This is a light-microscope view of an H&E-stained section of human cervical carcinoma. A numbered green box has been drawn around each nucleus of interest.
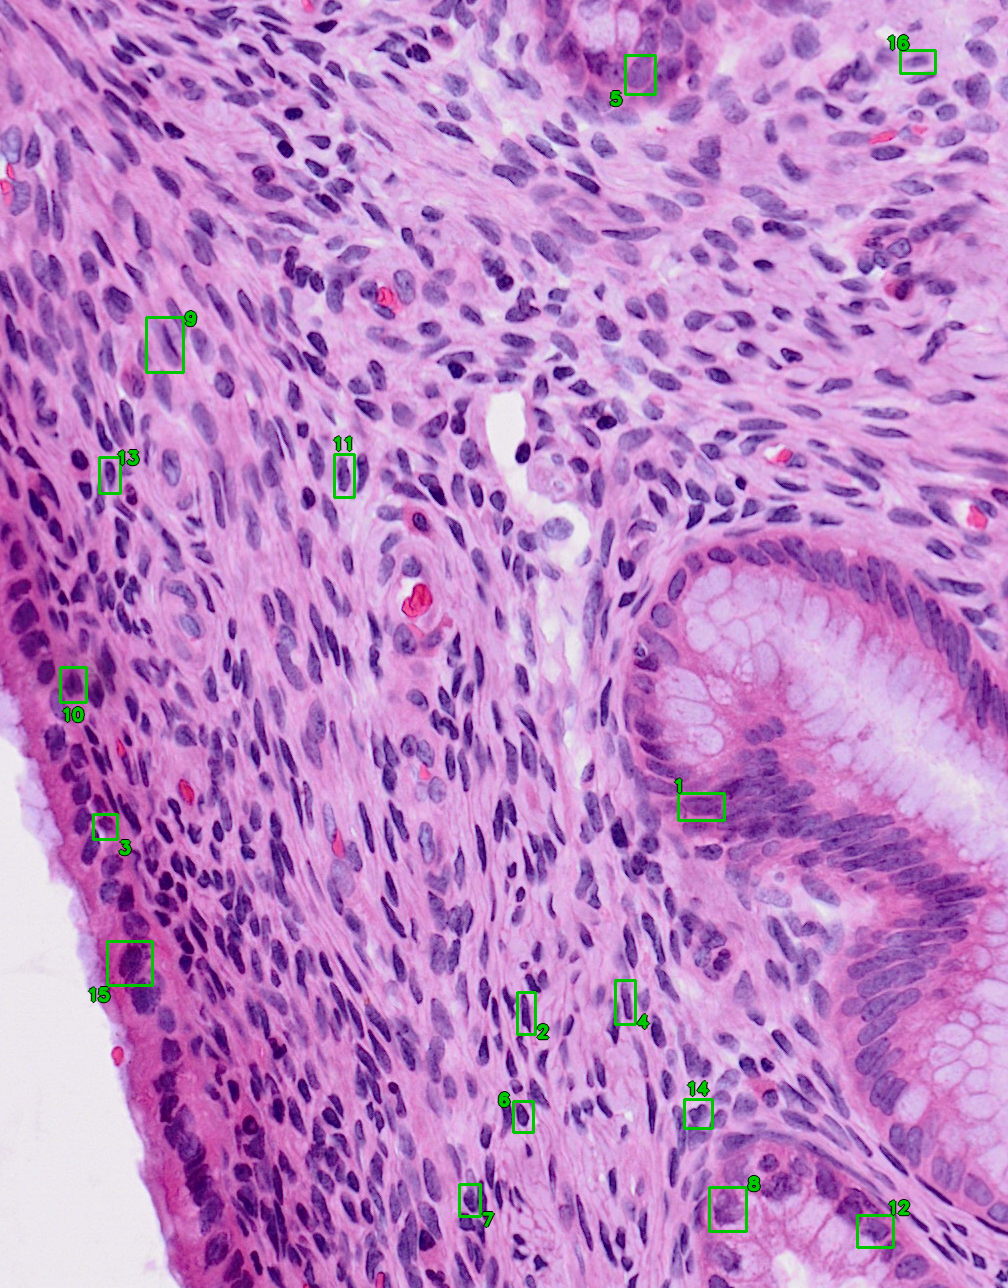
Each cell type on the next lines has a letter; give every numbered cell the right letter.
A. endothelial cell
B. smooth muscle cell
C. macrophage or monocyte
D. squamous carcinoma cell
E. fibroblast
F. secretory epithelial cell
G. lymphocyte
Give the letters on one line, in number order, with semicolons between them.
F; E; F; E; F; E; E; F; E; F; E; F; E; E; F; E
